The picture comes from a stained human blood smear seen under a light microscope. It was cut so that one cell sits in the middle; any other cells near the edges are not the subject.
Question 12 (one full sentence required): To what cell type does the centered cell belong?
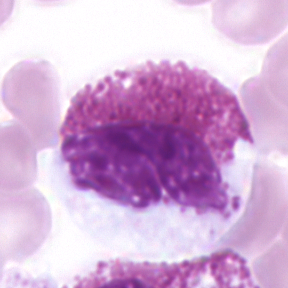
In the middle of this smear crop is an eosinophil.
